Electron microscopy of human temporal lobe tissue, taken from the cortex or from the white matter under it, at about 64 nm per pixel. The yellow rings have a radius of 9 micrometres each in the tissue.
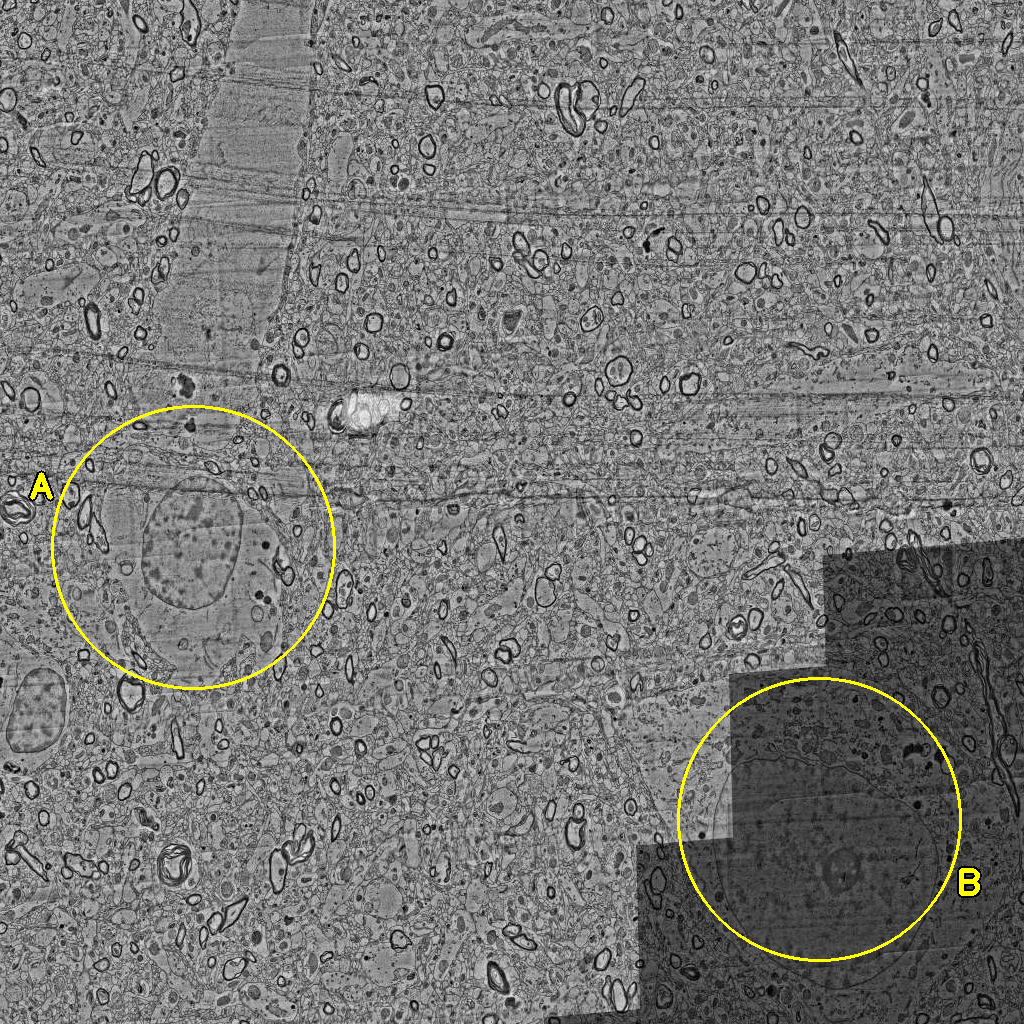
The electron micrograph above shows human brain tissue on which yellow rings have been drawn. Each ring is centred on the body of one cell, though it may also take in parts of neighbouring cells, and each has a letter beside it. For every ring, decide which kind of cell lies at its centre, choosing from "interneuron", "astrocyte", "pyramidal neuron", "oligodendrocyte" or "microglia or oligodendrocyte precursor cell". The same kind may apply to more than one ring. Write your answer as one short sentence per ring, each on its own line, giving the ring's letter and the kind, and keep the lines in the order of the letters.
Ring A is centred on an astrocyte.
Ring B is centred on a pyramidal neuron.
